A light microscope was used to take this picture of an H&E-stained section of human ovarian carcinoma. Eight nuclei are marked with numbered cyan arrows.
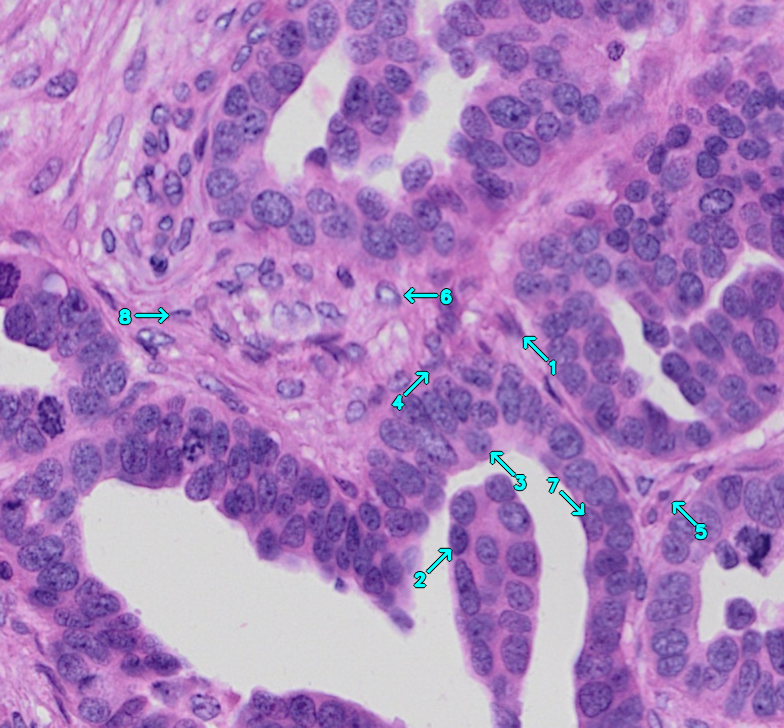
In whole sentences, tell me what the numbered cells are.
Cell 1 is a fibroblast, cell 2 is a carcinoma cell, cell 3 is a carcinoma cell, cell 4 is a fibroblast, cell 5 is a fibroblast, cell 6 is a fibroblast, cell 7 is a carcinoma cell and cell 8 is a fibroblast.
